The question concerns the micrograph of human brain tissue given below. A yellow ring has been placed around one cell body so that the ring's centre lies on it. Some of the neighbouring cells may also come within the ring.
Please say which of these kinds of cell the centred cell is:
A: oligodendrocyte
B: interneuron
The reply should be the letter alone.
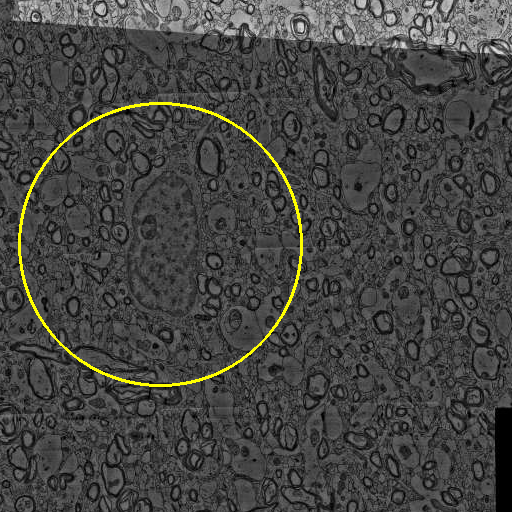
A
